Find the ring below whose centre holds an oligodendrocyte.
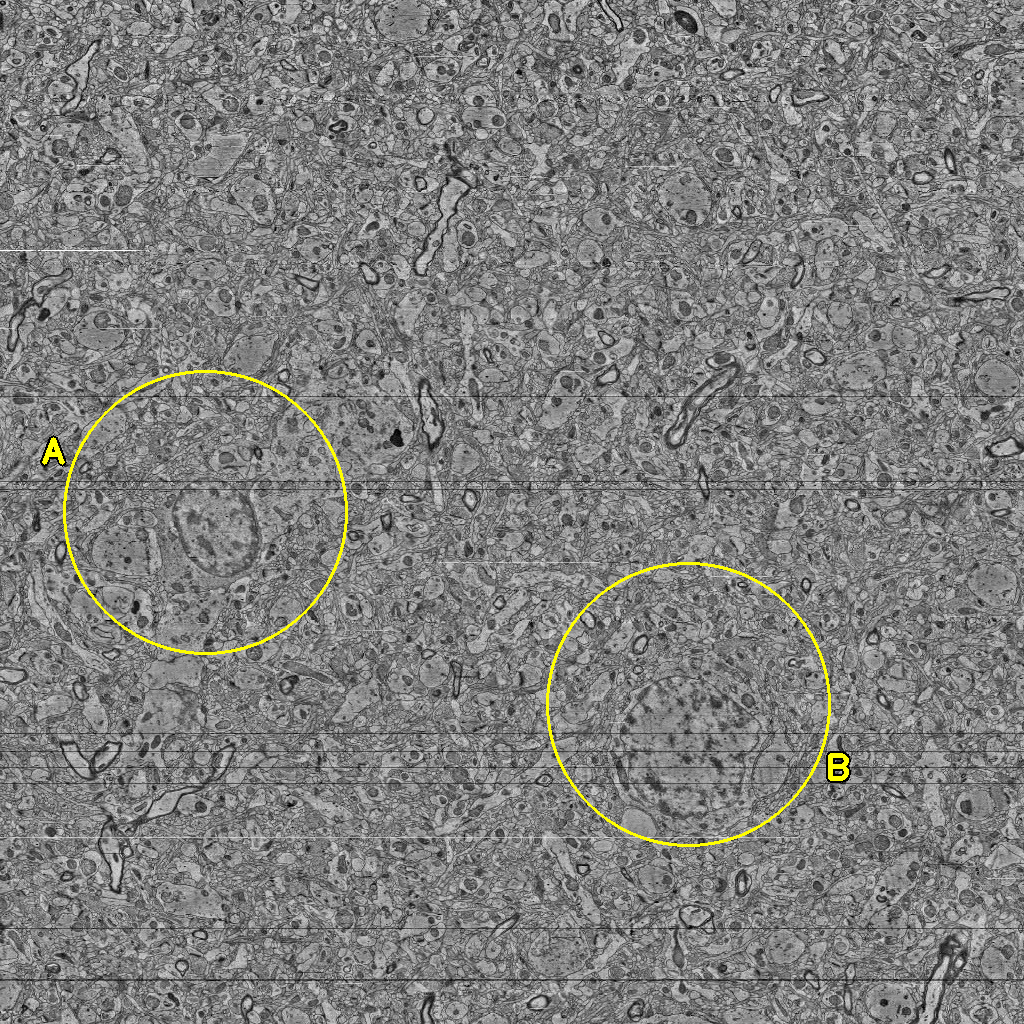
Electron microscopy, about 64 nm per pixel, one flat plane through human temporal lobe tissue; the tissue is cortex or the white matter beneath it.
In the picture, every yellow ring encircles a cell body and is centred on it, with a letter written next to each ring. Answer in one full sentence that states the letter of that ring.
The ring centred on the cell asked for in the picture carries the letter A.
